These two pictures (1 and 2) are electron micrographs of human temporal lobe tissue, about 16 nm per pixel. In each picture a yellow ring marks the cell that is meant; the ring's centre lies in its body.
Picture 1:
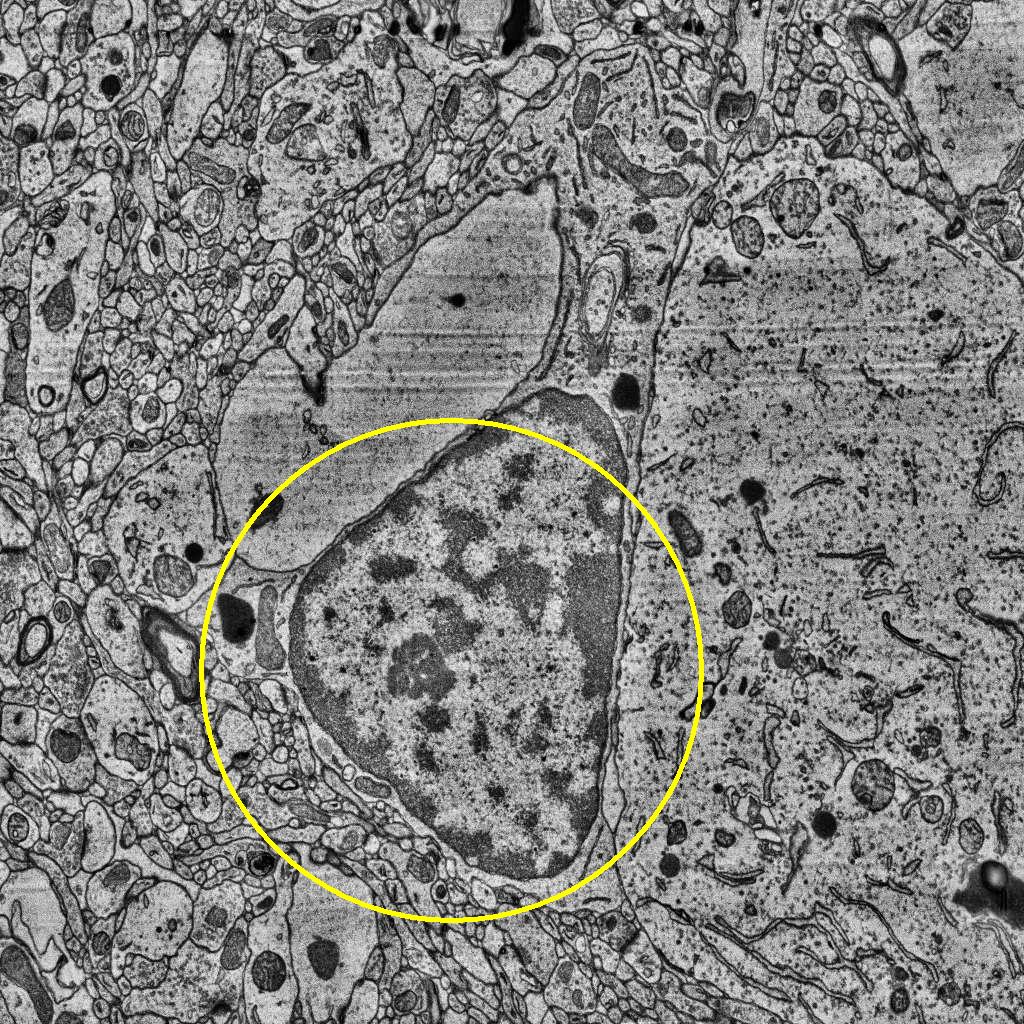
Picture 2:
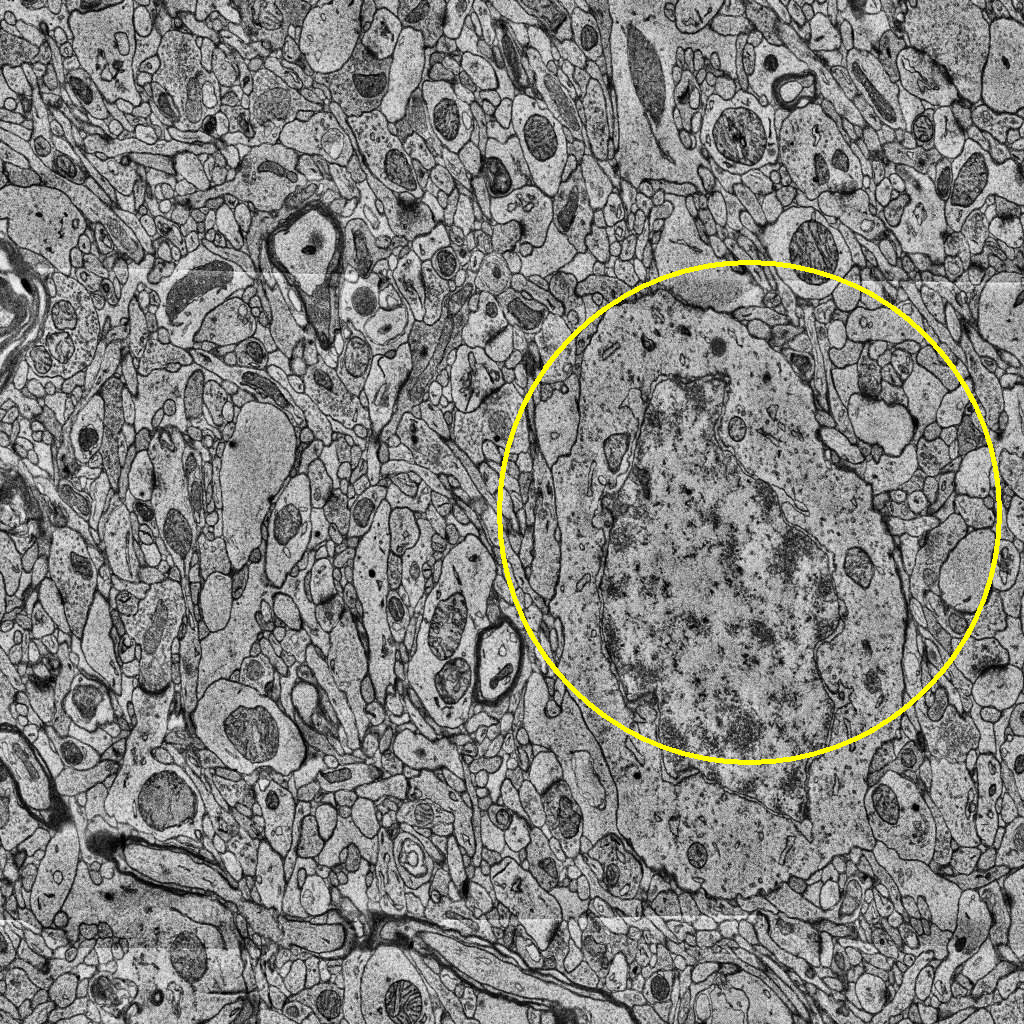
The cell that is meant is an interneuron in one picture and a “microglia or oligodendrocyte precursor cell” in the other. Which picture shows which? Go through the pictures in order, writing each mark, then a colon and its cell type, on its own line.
1: microglia or oligodendrocyte precursor cell
2: interneuron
